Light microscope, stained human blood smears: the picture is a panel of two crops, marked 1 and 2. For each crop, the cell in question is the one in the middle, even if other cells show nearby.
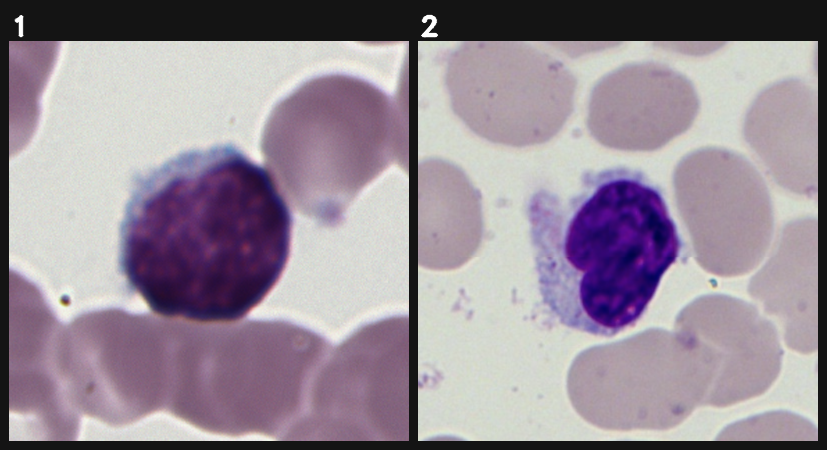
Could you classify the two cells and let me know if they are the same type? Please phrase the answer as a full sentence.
Yes, both crops show lymphocytes, with no exception.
